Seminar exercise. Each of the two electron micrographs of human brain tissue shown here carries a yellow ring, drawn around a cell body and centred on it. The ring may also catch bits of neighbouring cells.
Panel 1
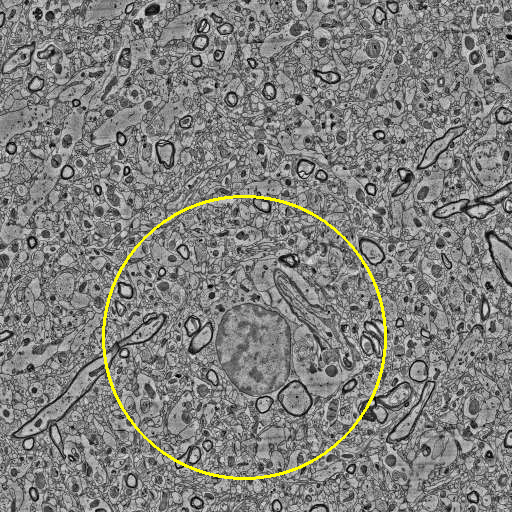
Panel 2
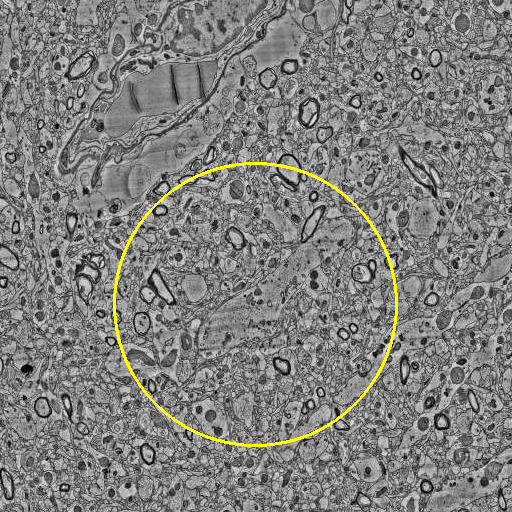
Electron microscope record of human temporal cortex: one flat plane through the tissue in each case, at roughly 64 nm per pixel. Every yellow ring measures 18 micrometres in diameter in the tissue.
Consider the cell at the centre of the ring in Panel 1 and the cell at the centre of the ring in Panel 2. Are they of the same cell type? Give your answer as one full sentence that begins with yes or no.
Yes, both cells are of the same type.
